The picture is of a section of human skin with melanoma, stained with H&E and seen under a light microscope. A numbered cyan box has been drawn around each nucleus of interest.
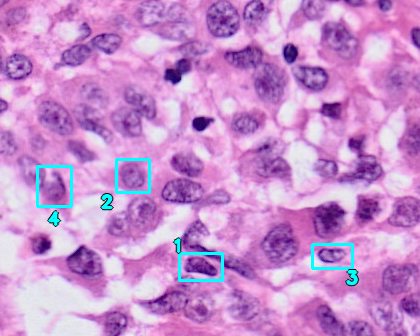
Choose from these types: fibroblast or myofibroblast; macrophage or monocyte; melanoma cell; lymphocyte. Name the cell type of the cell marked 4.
melanoma cell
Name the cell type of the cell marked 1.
melanoma cell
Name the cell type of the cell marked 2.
melanoma cell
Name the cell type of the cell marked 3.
macrophage or monocyte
